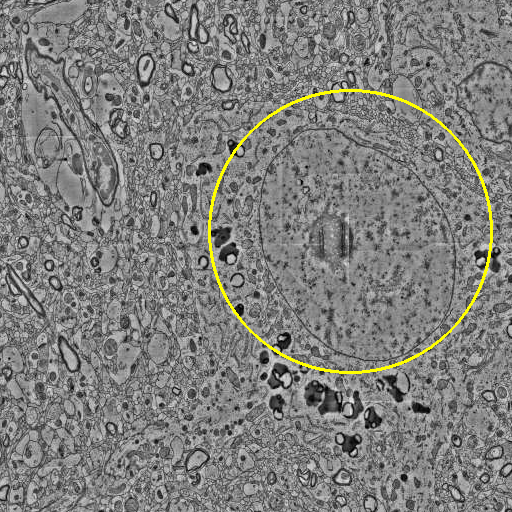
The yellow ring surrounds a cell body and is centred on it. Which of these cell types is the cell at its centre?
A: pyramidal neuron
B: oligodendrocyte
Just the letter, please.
A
